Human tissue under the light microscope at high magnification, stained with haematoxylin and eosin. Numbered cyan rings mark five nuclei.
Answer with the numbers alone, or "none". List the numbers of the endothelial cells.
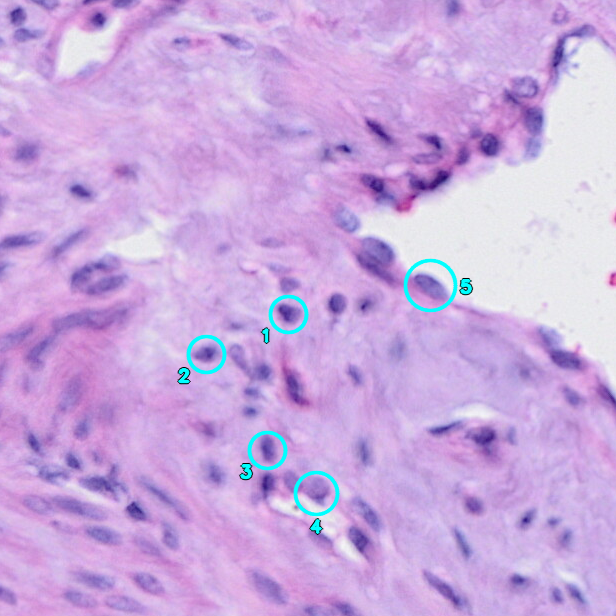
4, 5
